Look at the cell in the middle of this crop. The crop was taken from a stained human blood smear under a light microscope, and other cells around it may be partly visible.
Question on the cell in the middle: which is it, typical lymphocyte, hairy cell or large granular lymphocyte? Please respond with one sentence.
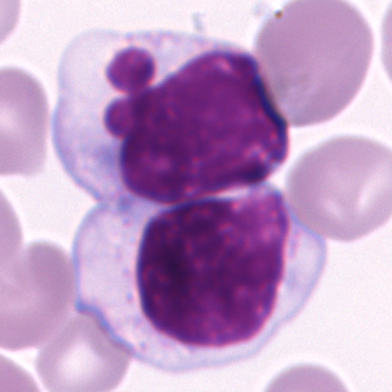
The centrally positioned cell in the crop represents a large granular lymphocyte.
